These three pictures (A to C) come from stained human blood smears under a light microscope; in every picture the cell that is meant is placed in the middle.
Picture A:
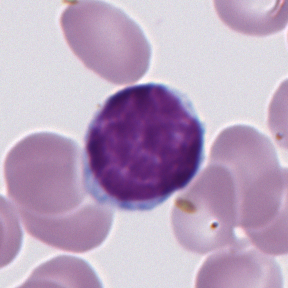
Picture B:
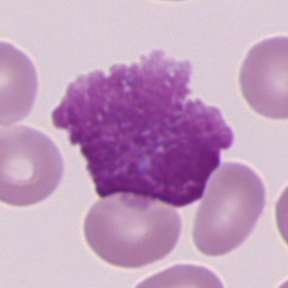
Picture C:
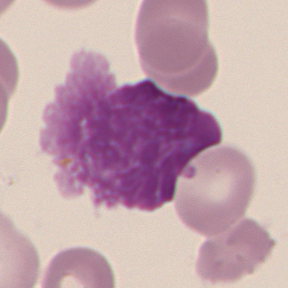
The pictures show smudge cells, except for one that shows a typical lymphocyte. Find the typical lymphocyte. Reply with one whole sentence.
The typical lymphocyte is the one in picture A.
